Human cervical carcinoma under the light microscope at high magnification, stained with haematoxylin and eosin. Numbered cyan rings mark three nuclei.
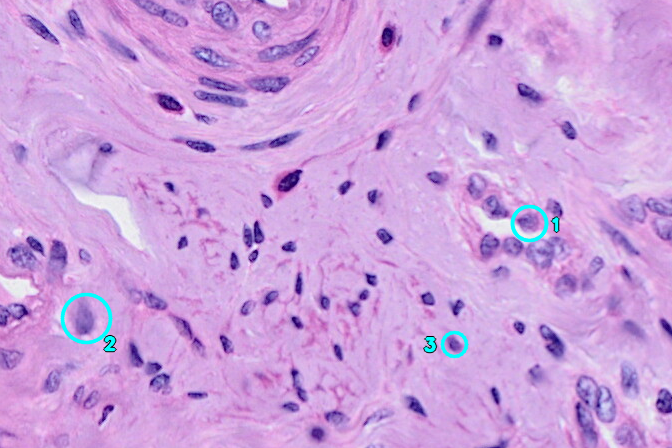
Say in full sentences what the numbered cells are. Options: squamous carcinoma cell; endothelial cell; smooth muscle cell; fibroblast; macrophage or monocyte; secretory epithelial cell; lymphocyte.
Cell 1 is an endothelial cell, cell 2 is a fibroblast and cell 3 is a smooth muscle cell.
